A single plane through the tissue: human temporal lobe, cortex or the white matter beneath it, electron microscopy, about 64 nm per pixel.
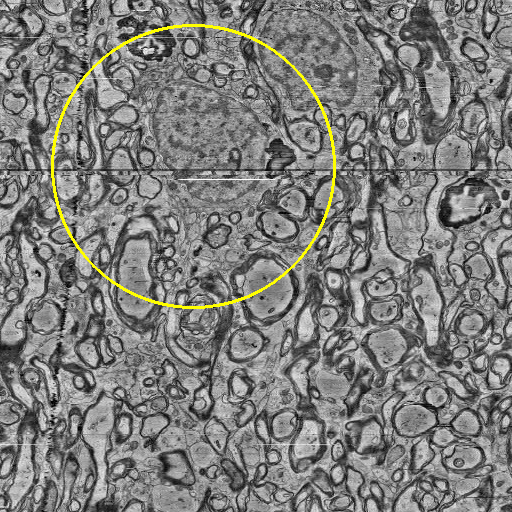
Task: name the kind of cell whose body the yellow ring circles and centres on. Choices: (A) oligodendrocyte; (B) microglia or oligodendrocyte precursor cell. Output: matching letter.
A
